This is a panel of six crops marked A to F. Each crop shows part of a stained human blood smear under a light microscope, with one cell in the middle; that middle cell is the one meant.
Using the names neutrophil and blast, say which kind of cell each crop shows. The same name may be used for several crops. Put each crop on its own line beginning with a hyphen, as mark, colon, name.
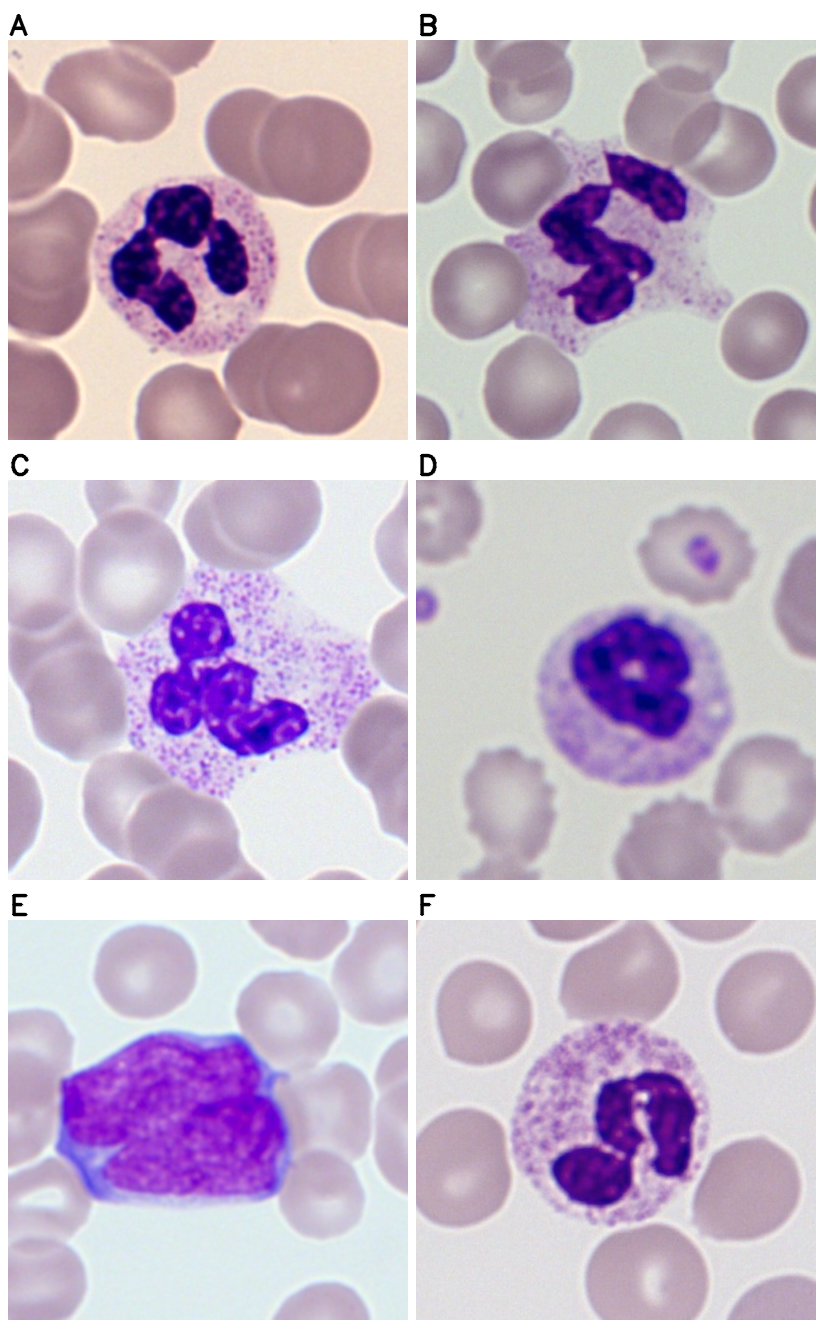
- A: neutrophil
- B: neutrophil
- C: neutrophil
- D: neutrophil
- E: blast
- F: neutrophil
